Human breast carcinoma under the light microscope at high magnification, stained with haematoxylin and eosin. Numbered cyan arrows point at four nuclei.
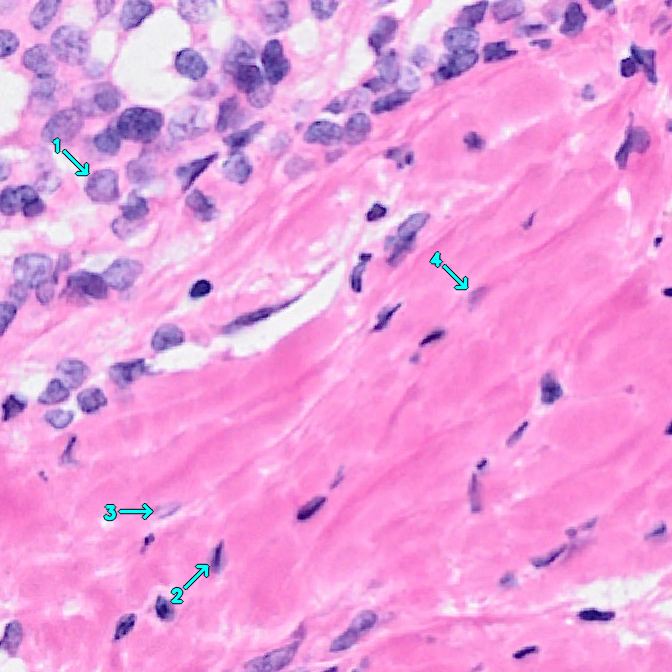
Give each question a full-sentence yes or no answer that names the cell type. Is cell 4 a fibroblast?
Yes, for number 4, the cell is a fibroblast.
